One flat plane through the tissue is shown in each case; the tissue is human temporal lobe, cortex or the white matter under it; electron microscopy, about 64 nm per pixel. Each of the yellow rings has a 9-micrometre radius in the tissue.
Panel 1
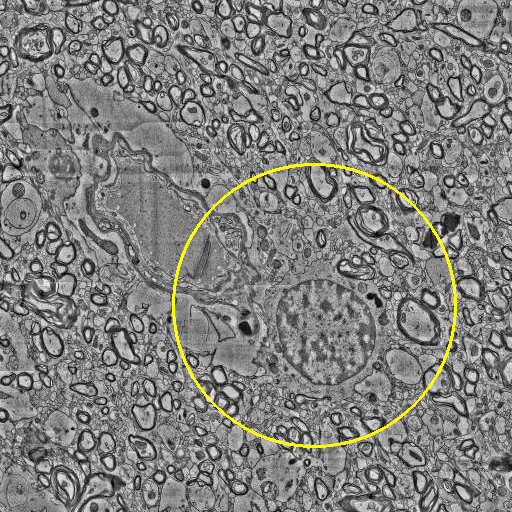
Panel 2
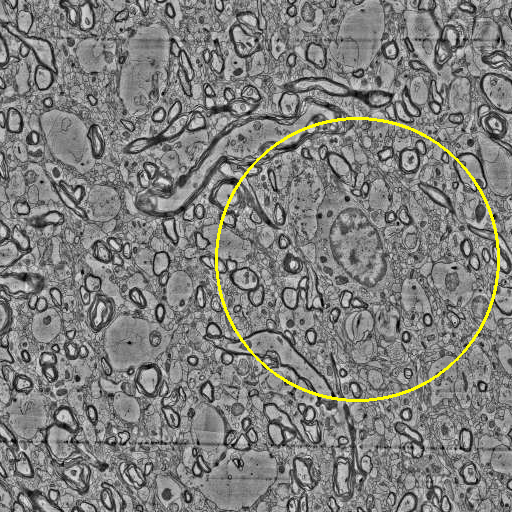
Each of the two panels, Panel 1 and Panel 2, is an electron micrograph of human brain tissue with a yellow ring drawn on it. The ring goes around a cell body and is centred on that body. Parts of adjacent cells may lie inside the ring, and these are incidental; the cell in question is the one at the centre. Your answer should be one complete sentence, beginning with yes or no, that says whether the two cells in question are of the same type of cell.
Yes, the two cells are of the same type.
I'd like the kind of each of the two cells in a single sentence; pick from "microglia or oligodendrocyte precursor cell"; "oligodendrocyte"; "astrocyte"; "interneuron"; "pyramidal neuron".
Each cell, in the first picture and the second, is an oligodendrocyte.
